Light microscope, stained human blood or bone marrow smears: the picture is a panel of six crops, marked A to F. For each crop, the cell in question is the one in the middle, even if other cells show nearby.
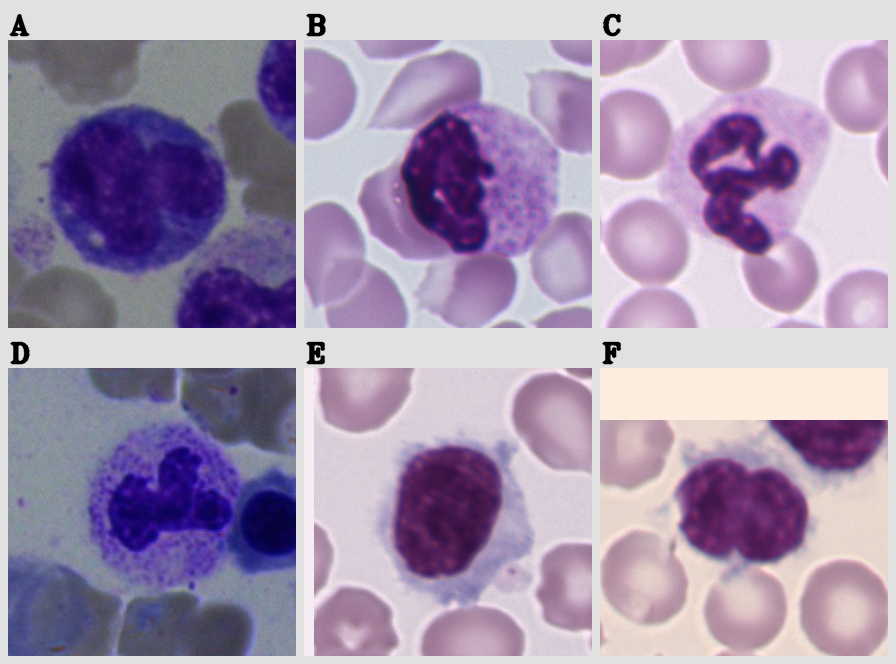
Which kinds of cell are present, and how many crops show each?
neutrophil: 3
hairy cell: 2
monocyte: 1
